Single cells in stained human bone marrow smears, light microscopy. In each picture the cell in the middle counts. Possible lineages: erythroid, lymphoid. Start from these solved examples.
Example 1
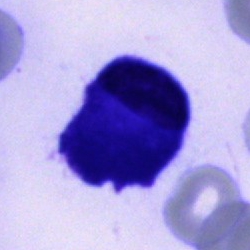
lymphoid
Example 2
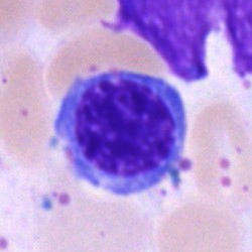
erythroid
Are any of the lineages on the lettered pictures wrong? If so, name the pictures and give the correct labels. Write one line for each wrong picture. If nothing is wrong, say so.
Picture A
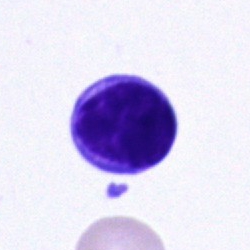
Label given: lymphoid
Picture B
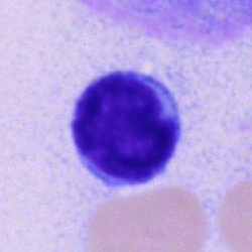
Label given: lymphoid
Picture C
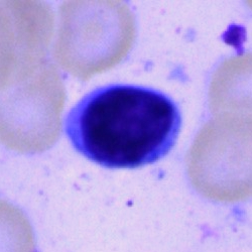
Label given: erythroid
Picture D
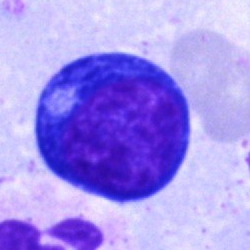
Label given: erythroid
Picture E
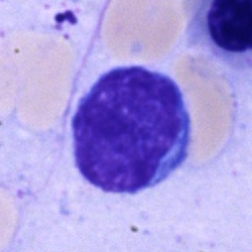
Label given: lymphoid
C is labelled erythroid; correct label: lymphoid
